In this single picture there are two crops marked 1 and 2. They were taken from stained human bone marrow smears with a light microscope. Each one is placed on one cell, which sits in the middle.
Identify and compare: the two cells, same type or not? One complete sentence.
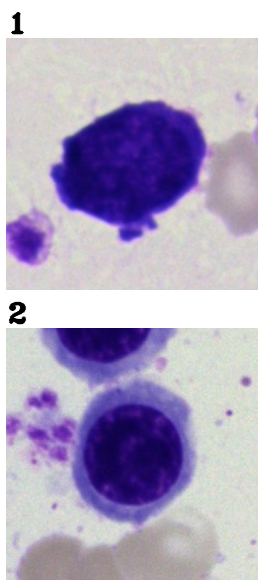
No, it is in crop 1 that a blast is shown, and in crop 2 that a normoblast is shown.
